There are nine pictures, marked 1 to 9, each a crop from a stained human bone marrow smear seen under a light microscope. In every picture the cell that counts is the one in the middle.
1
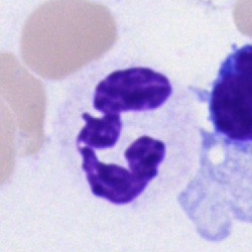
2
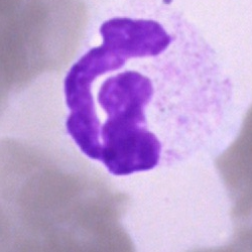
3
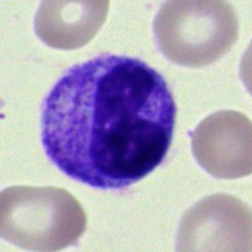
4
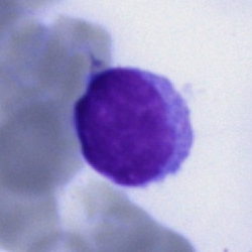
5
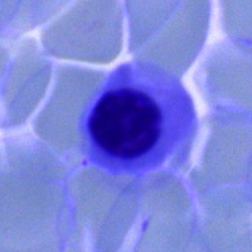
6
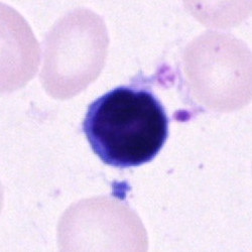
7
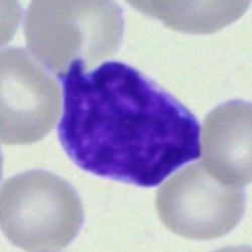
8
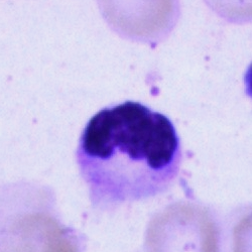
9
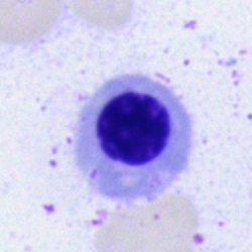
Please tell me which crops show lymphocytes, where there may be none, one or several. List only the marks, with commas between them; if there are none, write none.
4, 6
